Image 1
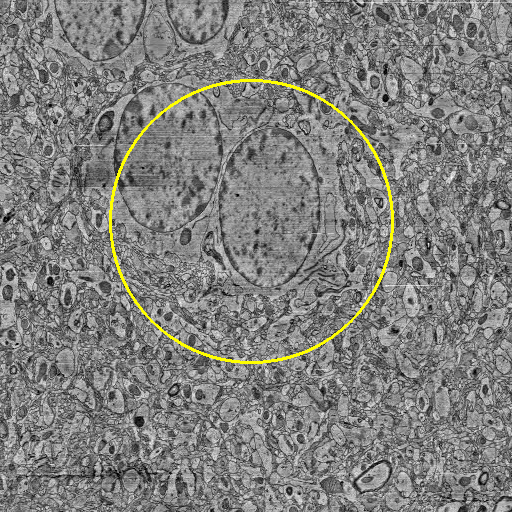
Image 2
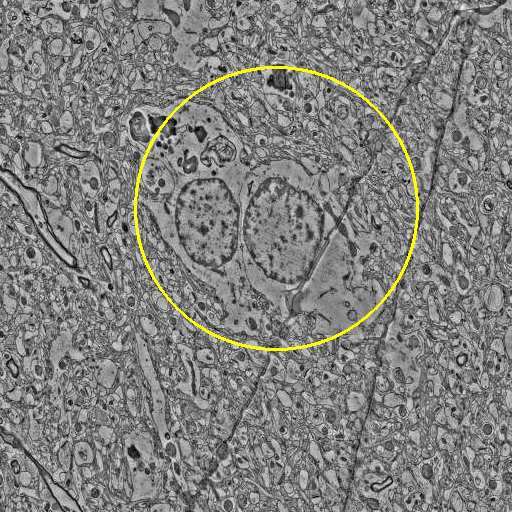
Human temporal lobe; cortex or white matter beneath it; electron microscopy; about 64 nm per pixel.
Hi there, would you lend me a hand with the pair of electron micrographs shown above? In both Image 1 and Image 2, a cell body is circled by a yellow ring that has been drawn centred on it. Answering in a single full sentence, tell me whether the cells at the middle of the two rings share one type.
Yes, the ringed cells in Image 1 and Image 2 share one type.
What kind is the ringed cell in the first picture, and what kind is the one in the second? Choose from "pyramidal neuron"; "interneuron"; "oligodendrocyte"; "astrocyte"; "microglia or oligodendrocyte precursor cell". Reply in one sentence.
In each of the two pictures, the ringed cell is an astrocyte.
